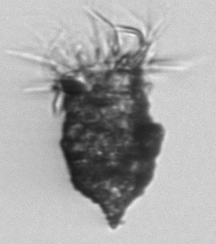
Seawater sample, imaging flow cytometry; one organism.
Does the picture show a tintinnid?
Yes.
